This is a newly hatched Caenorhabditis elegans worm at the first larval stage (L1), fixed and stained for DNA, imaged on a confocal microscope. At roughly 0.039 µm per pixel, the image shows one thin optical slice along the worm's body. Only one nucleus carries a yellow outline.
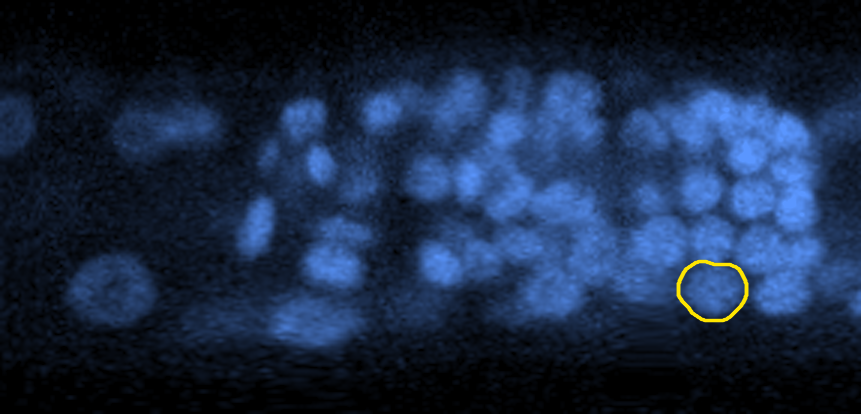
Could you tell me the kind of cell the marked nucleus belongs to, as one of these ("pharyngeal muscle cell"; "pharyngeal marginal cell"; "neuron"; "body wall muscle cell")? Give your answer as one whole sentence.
It belongs to a neuron.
